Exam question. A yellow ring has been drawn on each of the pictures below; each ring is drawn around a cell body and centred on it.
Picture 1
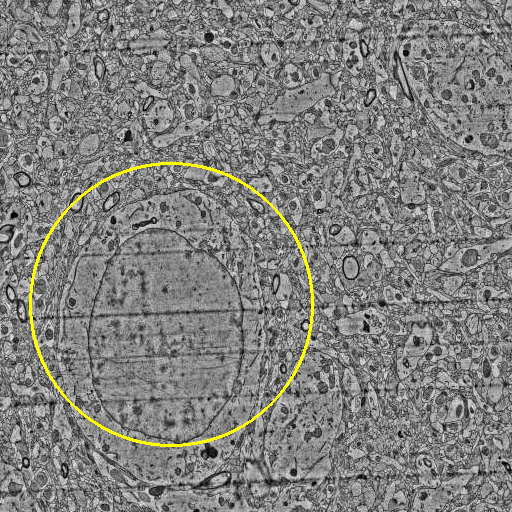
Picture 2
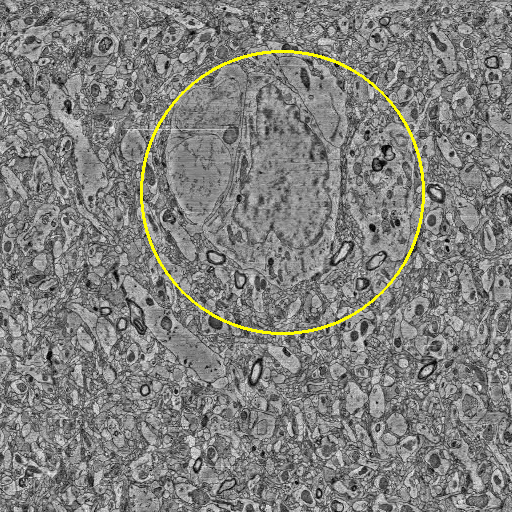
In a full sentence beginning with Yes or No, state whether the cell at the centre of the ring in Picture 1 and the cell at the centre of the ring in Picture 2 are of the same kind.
No, the cells are of two kinds.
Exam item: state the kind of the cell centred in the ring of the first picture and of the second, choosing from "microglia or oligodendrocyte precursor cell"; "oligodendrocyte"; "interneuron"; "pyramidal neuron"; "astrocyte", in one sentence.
The first picture shows a pyramidal neuron at the ring centre and the second shows an interneuron.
